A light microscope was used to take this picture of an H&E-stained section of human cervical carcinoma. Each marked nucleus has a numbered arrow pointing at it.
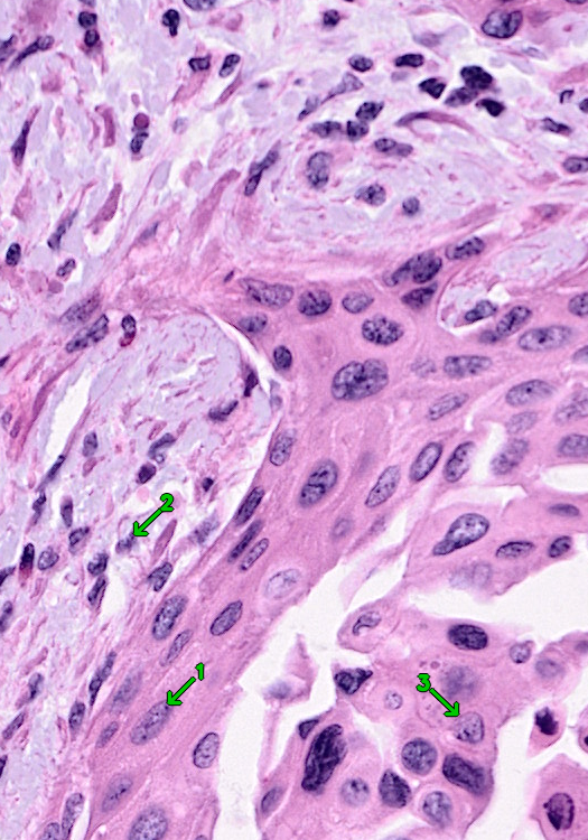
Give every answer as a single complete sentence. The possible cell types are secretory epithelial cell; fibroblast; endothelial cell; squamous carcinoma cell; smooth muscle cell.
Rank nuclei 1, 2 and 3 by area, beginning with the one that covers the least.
Smallest first, the nuclei run 2, 3, 1.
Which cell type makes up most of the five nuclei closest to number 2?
Fibroblasts make up most of the five nuclei closest to number 2.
